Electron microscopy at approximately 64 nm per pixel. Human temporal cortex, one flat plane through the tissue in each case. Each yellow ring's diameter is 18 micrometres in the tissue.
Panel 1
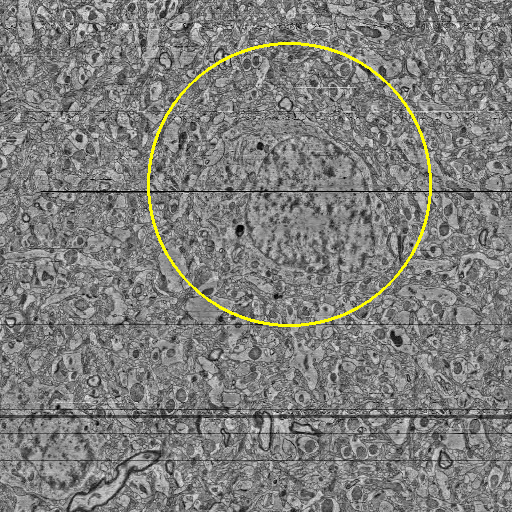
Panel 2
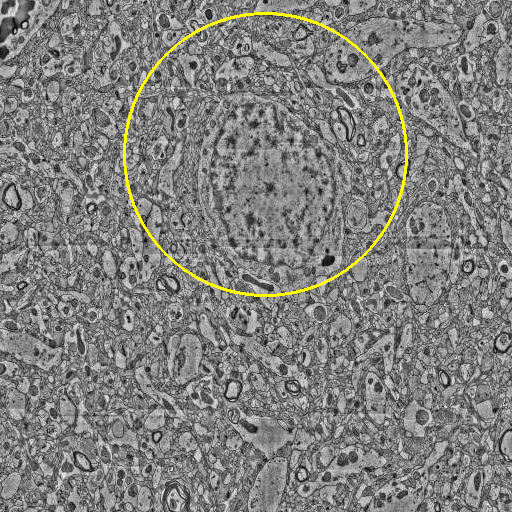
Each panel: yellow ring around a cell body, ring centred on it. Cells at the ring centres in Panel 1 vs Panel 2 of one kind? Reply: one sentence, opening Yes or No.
Yes, Panel 1 and Panel 2 have cells of one kind at the ring centres.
